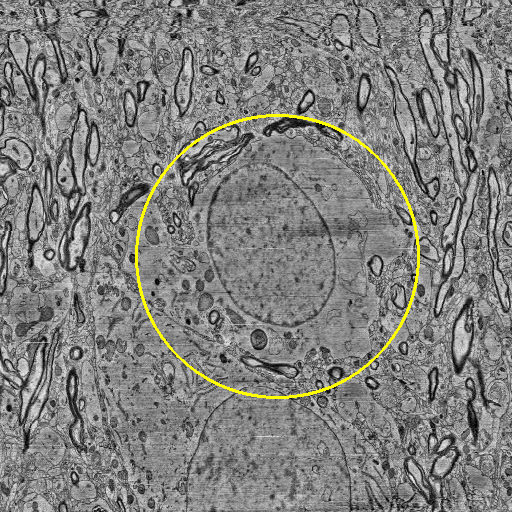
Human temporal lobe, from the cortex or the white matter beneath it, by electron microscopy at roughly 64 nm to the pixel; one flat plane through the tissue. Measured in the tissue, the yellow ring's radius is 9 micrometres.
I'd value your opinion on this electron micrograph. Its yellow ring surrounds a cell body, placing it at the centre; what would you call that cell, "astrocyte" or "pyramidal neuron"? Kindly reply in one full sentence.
It is an astrocyte that sits centred within the yellow ring in this micrograph.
